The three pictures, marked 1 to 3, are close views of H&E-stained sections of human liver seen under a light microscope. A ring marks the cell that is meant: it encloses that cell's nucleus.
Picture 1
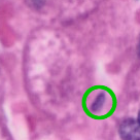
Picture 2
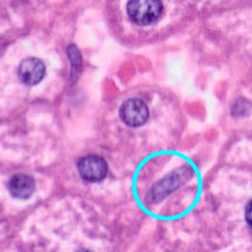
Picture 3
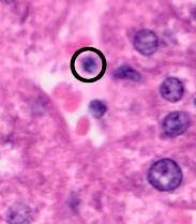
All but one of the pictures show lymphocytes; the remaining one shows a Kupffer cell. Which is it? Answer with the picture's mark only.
2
